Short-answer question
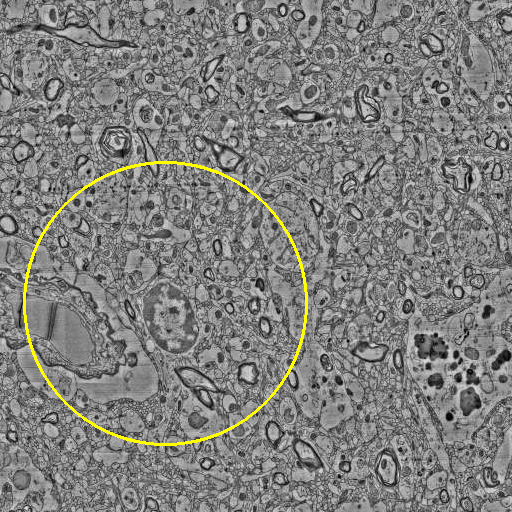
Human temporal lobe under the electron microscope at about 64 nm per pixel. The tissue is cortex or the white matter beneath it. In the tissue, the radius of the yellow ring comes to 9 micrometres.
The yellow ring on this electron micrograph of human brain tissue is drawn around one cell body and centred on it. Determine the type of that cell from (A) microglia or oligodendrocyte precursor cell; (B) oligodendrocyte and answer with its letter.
A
